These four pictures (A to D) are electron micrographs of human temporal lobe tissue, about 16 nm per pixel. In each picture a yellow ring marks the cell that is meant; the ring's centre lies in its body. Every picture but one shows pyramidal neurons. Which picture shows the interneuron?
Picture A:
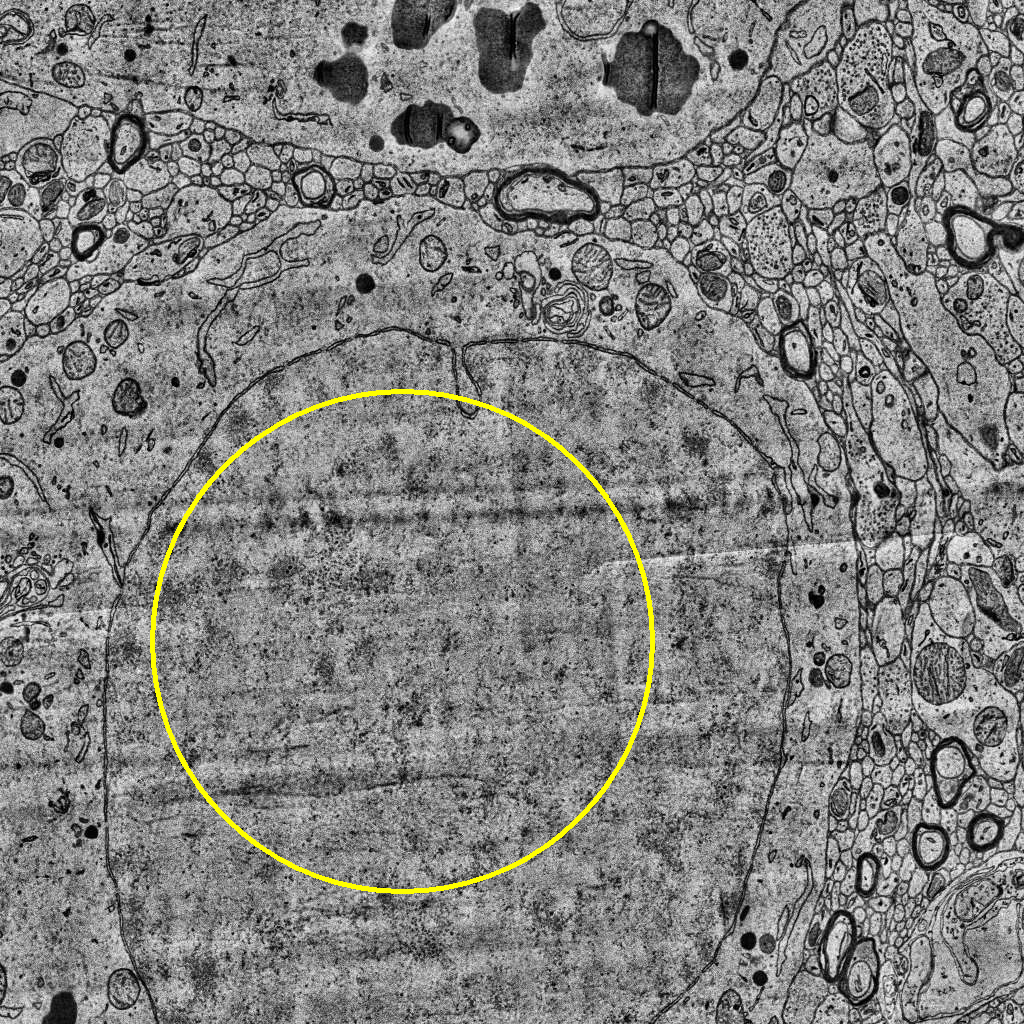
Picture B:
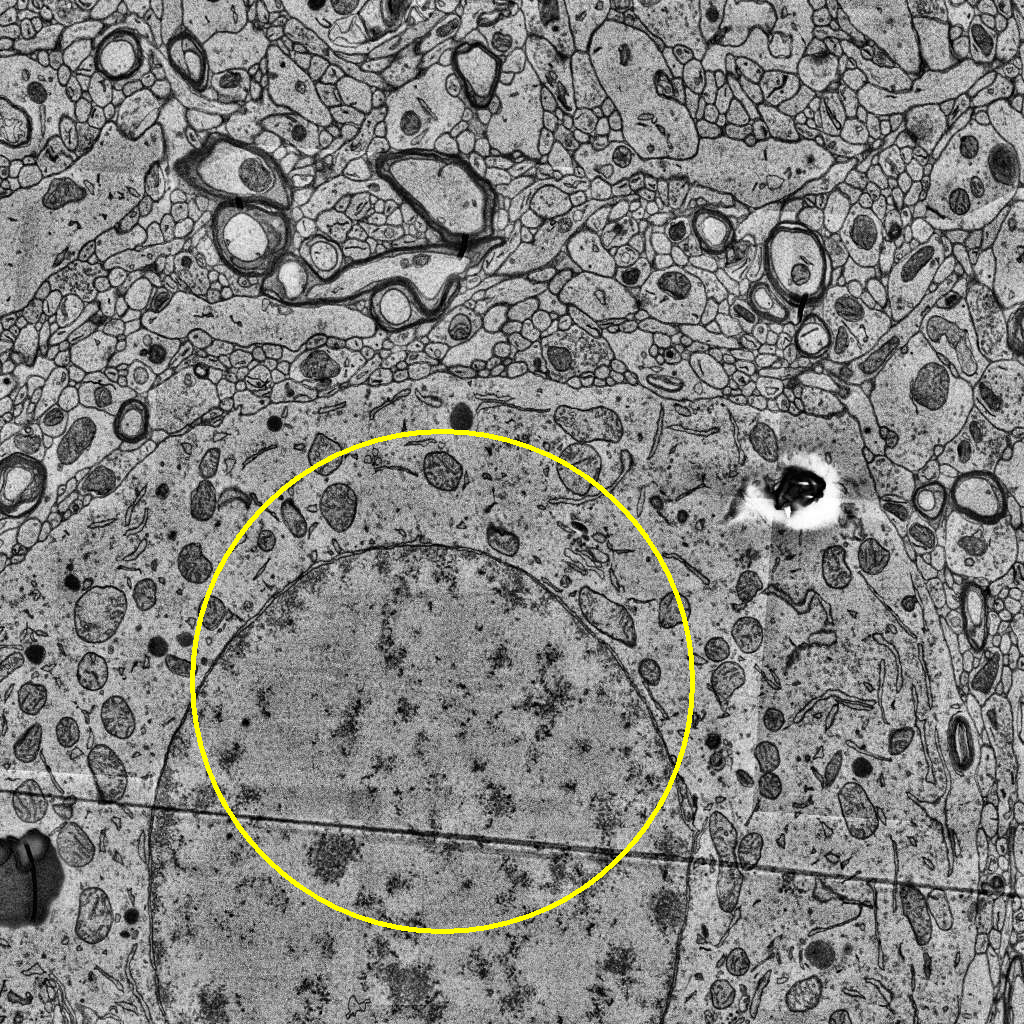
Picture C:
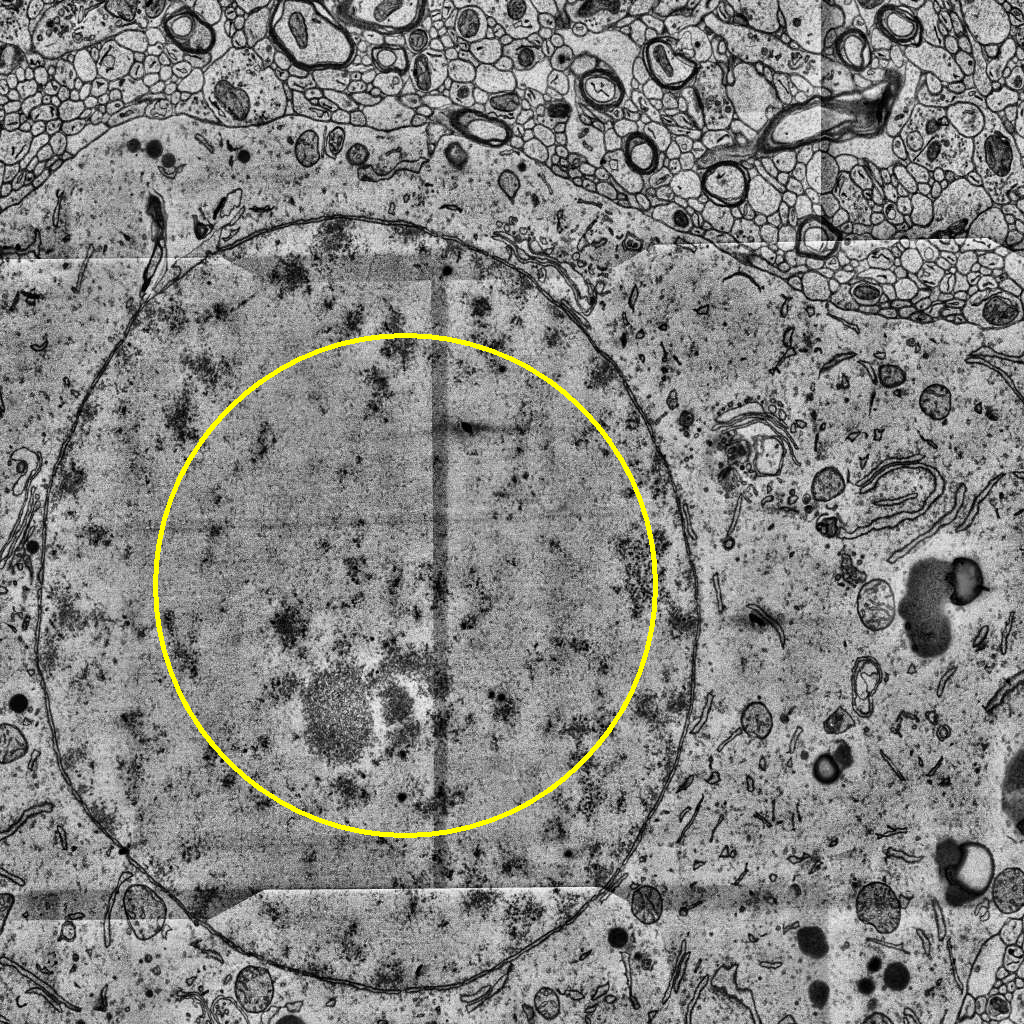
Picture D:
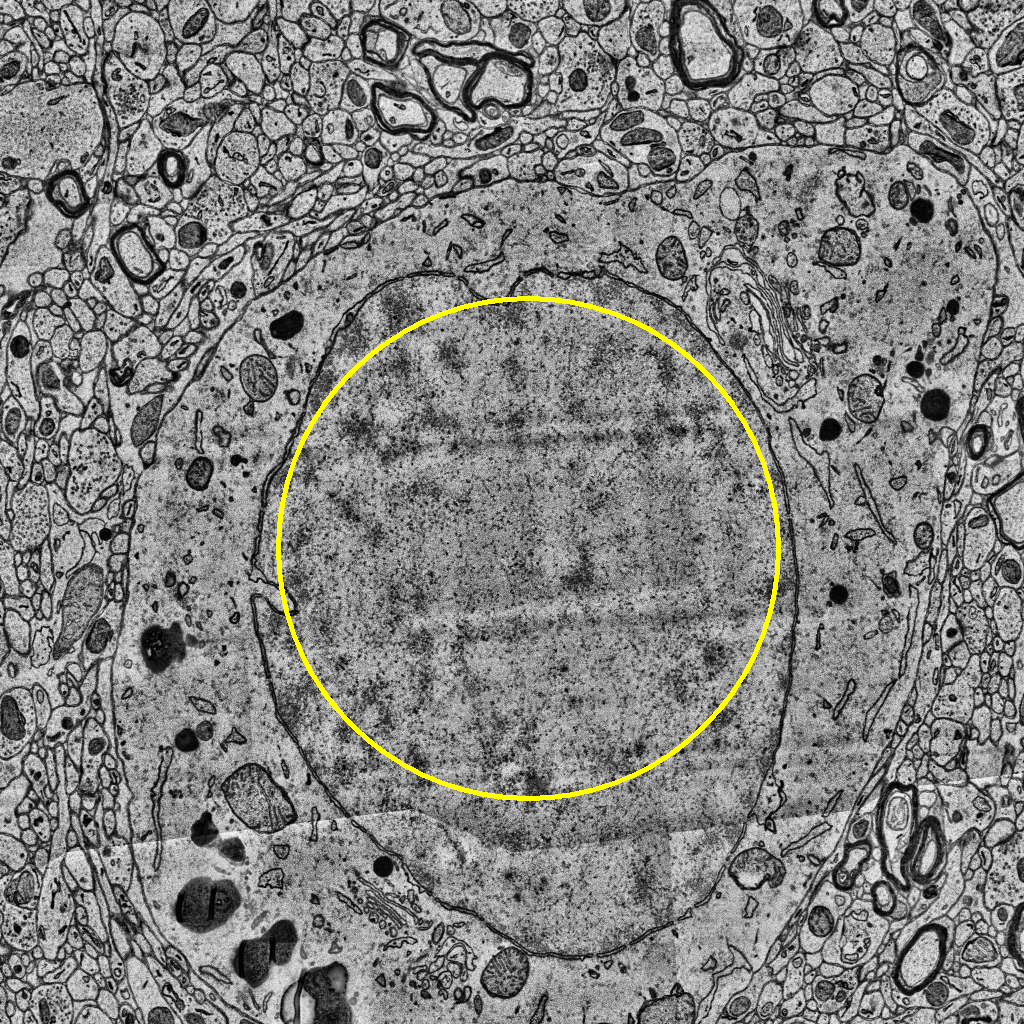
The picture with the interneuron is B.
